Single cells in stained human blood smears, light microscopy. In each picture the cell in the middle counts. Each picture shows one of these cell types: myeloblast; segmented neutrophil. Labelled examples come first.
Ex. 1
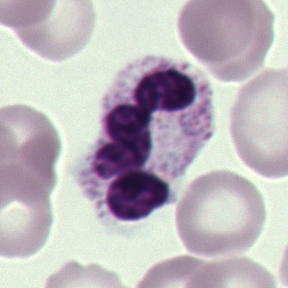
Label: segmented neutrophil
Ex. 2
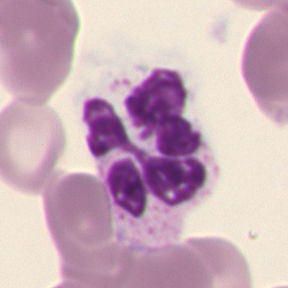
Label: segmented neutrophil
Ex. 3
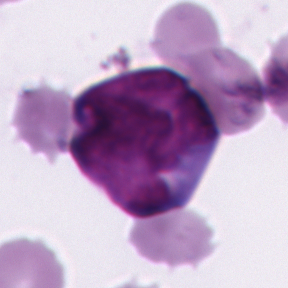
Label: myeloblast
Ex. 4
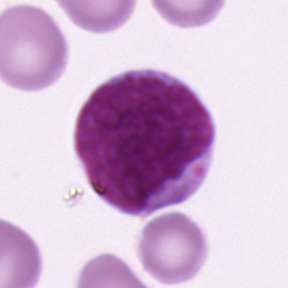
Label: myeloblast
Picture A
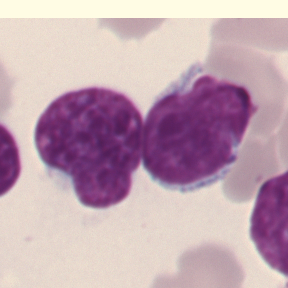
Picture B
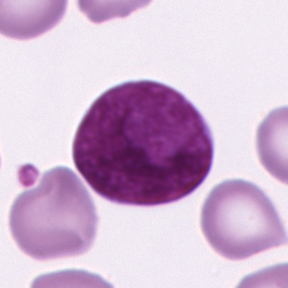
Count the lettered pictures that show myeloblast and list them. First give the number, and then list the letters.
Count: 2 (A, B)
